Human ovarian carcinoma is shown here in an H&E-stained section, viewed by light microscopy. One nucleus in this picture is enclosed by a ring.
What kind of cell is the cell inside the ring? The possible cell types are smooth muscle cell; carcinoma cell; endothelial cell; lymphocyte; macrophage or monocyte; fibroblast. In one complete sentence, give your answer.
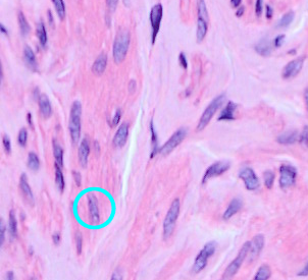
Cell type answer for this item: the cell inside the ring is a smooth muscle cell.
